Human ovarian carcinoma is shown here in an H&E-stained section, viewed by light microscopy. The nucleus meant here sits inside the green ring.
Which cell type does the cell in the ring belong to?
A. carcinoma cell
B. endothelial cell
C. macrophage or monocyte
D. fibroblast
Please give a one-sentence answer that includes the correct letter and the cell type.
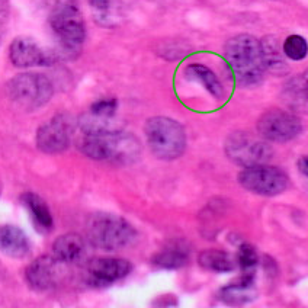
The correct option is B, as the cell in the ring is an endothelial cell.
